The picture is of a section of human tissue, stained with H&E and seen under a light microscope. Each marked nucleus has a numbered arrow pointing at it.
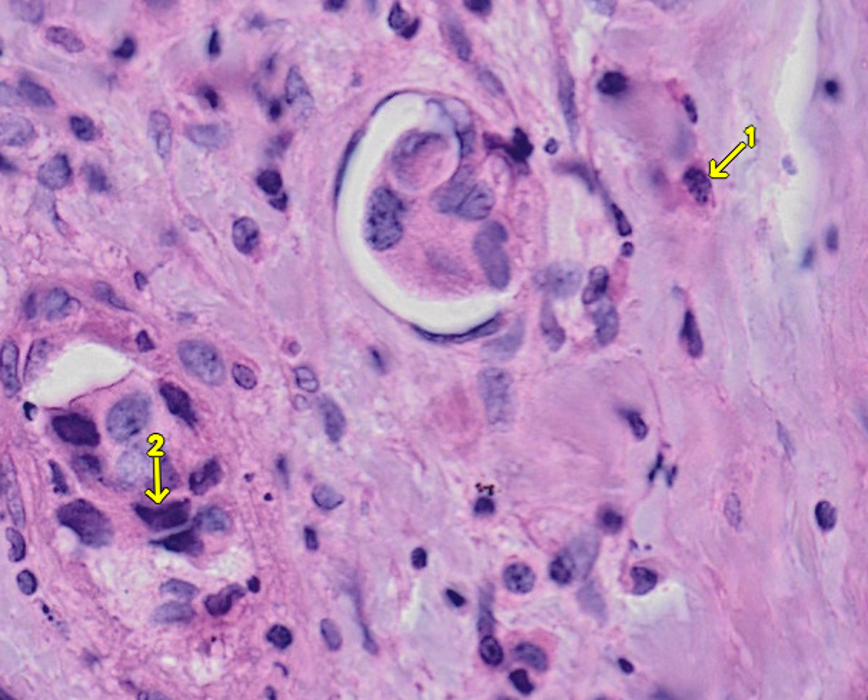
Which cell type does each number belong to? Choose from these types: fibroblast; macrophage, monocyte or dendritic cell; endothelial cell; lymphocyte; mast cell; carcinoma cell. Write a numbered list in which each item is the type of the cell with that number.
1. mast cell
2. carcinoma cell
